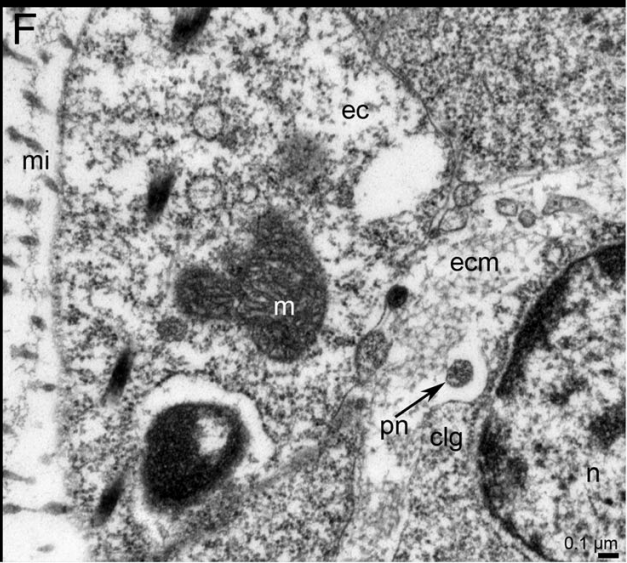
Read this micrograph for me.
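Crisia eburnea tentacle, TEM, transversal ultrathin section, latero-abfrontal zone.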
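The outer surface of the epidermal cell at the left bears a row of thin microvilli. Its cytoplasm is finely granular and holds a large mitochondrion with densely packed cristae and several small vesicles. A thin, pale layer of extracellular matrix separates the epidermis from the coelomic lining cell at the lower right, whose nucleus with dark peripheral chromatin lies at the right edge. A small round peritoneal neurite profile sits just under the coelomic lining, adjacent to the matrix.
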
